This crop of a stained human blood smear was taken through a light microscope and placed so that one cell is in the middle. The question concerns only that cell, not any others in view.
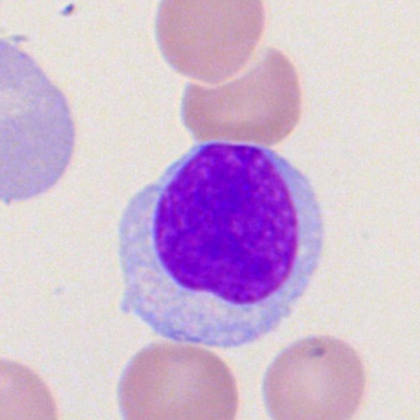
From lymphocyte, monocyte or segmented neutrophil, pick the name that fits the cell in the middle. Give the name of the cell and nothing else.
lymphocyte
